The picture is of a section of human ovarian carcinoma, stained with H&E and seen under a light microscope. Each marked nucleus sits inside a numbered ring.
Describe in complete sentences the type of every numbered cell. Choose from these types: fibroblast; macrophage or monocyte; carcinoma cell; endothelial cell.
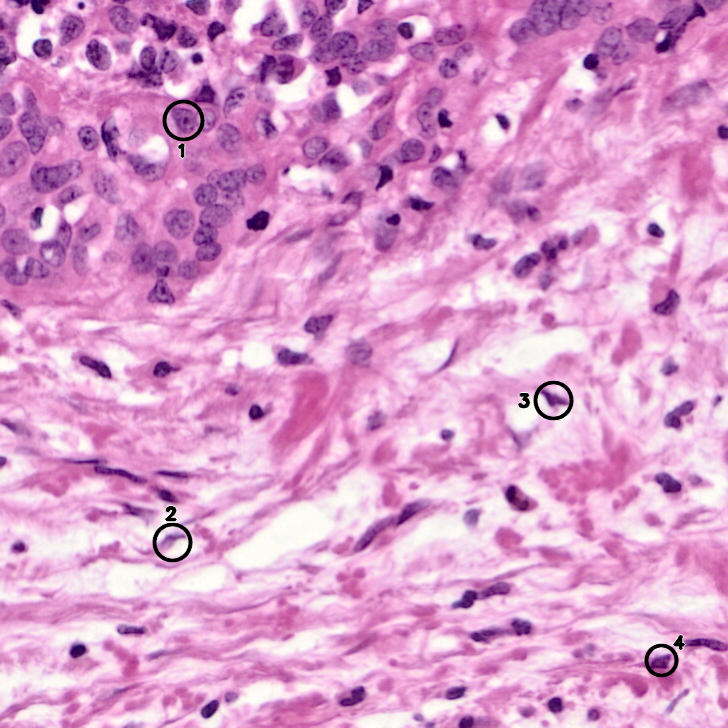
Cell 1 is a carcinoma cell, cell 2 is a fibroblast, cell 3 is a fibroblast and cell 4 is a fibroblast.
